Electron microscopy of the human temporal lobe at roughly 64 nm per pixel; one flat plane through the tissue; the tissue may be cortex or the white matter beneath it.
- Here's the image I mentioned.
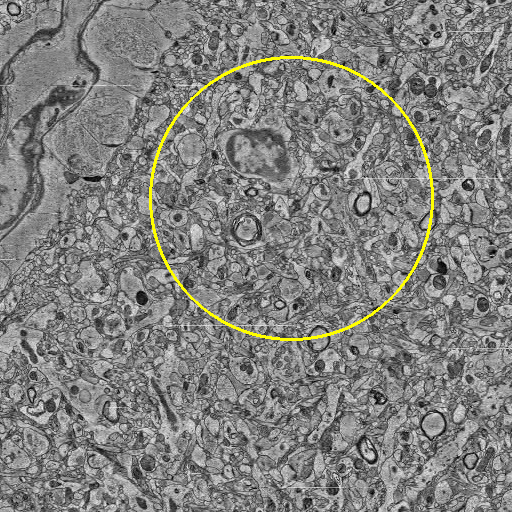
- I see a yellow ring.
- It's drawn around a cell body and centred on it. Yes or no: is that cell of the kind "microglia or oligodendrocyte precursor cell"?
yes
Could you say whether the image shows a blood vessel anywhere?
Yes, one shows.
